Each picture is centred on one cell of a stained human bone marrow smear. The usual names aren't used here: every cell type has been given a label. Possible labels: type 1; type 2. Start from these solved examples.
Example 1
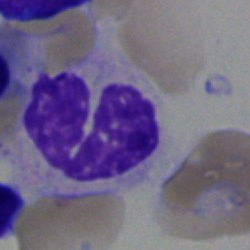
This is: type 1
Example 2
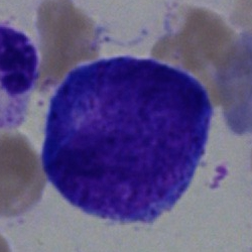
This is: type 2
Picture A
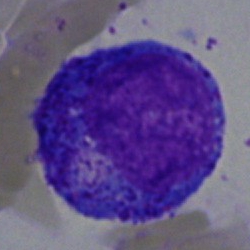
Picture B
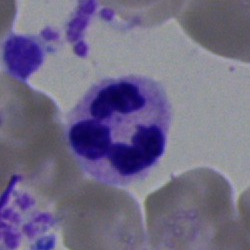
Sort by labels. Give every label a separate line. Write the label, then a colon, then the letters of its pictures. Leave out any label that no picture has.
type 1: B
type 2: A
